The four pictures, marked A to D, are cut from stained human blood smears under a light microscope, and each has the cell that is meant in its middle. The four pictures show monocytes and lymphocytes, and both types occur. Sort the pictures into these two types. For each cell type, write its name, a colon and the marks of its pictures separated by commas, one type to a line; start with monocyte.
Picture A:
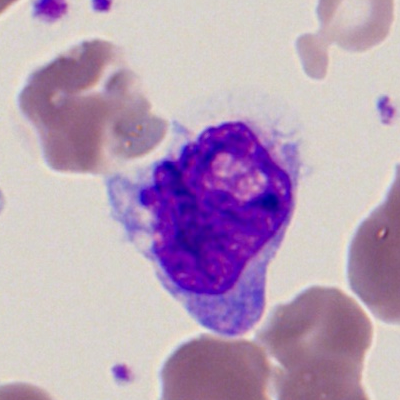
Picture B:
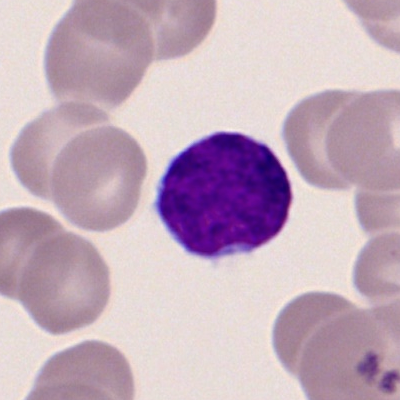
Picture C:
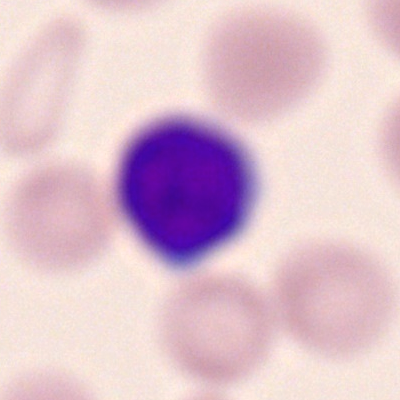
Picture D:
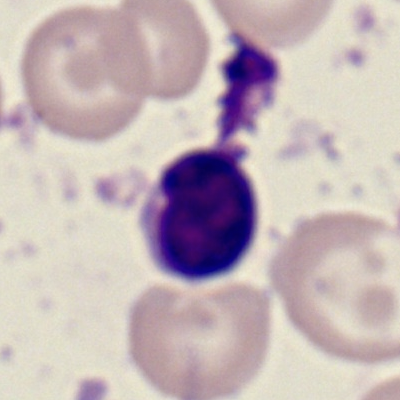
monocyte: A
lymphocyte: B, C, D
